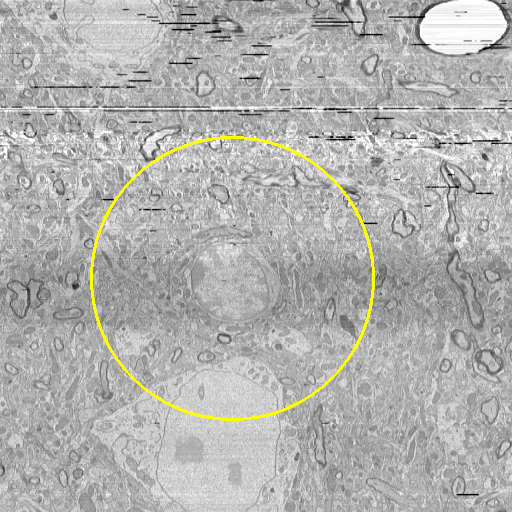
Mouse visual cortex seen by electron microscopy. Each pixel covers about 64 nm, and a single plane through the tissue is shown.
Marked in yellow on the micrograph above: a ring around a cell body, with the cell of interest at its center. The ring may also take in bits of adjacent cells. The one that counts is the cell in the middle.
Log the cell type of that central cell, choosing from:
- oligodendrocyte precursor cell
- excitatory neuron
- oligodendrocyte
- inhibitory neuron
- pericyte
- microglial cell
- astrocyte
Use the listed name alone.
oligodendrocyte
